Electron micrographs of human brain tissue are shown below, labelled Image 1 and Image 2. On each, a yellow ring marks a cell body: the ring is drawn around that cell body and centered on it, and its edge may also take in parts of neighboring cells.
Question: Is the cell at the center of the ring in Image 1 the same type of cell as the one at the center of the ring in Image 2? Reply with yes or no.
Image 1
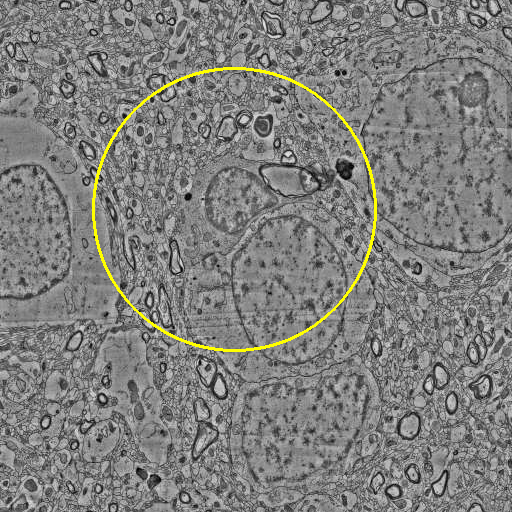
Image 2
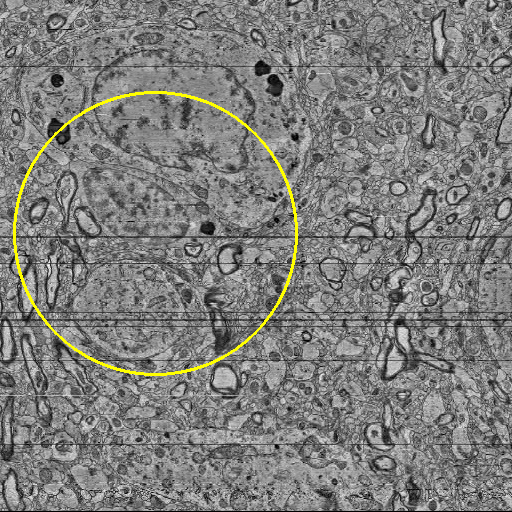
yes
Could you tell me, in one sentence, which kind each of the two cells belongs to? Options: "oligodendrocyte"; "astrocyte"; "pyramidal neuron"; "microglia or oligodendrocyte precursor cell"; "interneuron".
Each cell, in the first picture and the second, is an oligodendrocyte.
